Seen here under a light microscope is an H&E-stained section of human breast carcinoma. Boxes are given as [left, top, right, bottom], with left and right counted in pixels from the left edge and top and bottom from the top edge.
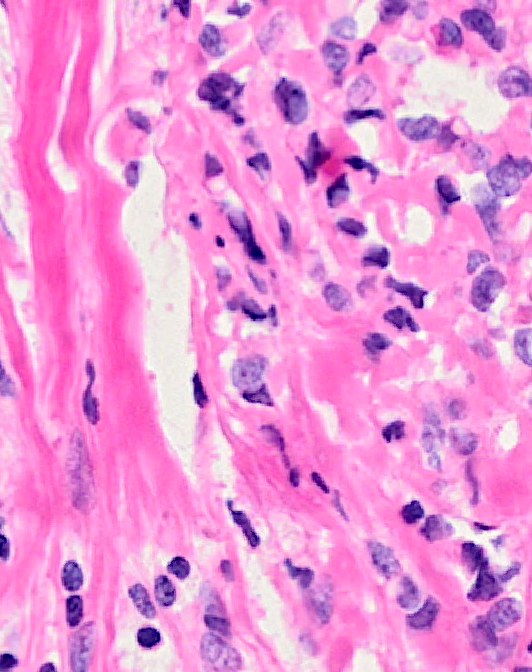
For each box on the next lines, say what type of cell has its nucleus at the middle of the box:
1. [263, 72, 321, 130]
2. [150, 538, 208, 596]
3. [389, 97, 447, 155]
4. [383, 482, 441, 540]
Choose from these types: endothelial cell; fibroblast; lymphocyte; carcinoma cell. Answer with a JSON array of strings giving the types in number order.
["carcinoma cell", "lymphocyte", "carcinoma cell", "lymphocyte"]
